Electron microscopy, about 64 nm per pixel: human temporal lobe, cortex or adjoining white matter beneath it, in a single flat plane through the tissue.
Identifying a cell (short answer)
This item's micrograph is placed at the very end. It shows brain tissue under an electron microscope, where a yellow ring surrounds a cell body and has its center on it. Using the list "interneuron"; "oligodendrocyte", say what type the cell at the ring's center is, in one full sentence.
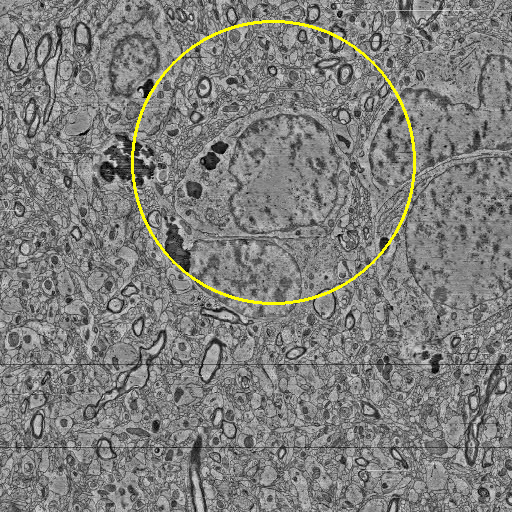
This picture shows an interneuron at the center of the yellow ring drawn on it.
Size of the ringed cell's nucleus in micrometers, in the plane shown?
The ringed cell's nucleus is about 8 micrometres long and 7 micrometres wide in this plane.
